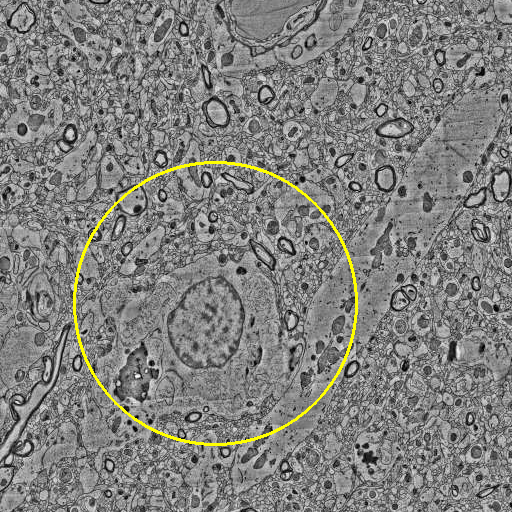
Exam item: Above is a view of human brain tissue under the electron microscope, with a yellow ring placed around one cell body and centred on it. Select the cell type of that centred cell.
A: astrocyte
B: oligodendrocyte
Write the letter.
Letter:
A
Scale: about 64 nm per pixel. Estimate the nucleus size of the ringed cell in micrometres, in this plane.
In this plane, the nucleus is roughly 6 by 5 micrometres.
